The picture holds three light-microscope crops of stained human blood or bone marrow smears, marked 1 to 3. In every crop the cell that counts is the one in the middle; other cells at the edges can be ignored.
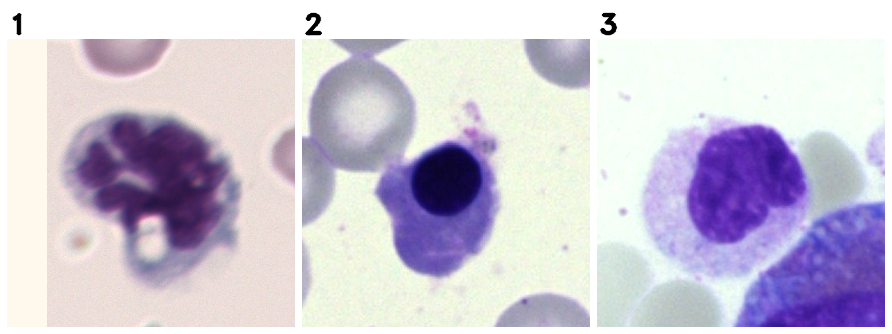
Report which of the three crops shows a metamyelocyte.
3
